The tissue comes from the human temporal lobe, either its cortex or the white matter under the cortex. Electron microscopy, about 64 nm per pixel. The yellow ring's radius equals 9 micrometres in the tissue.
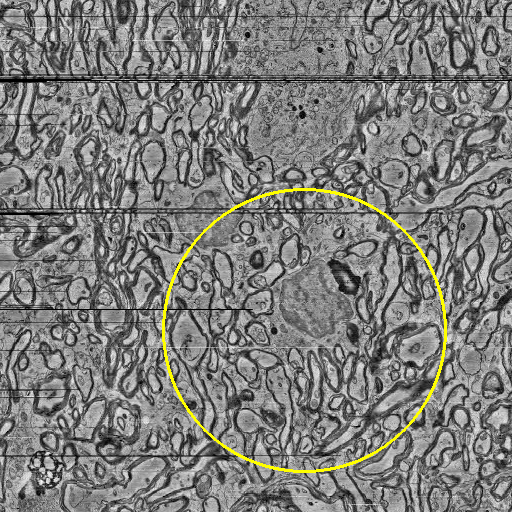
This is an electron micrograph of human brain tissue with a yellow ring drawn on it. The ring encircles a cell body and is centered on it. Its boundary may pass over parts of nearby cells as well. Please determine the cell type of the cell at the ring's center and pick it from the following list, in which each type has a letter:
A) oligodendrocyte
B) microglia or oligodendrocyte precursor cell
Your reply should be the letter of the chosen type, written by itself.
A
